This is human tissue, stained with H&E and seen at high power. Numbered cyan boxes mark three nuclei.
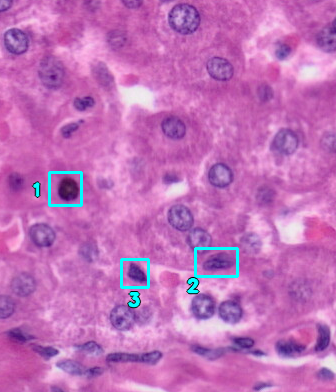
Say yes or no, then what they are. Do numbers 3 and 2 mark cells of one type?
Yes, by cell type, cells 3 and 2 are both fibroblasts or stellate cells.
